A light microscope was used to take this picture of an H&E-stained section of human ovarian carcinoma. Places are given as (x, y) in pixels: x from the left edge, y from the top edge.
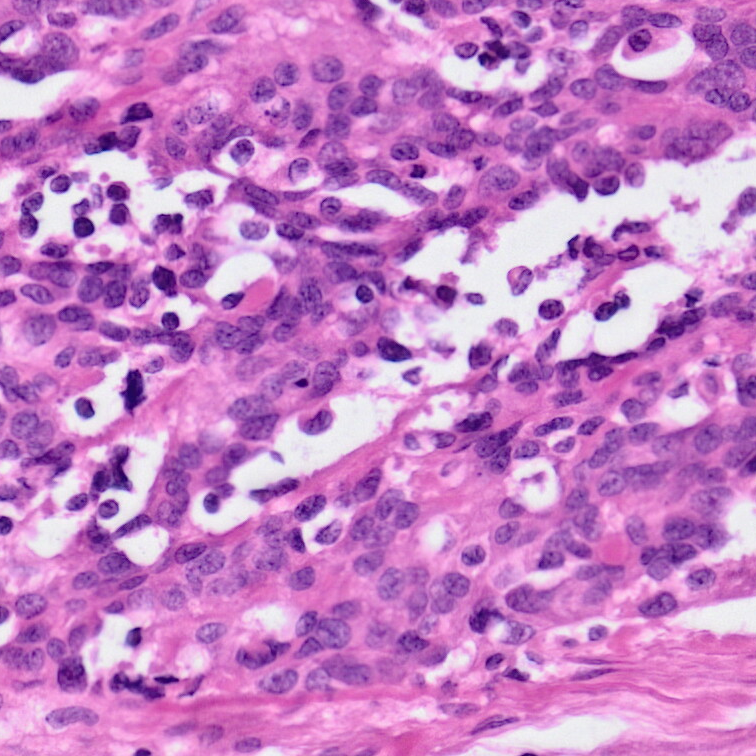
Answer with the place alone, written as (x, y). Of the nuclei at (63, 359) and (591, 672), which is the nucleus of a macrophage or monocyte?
(63, 359)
